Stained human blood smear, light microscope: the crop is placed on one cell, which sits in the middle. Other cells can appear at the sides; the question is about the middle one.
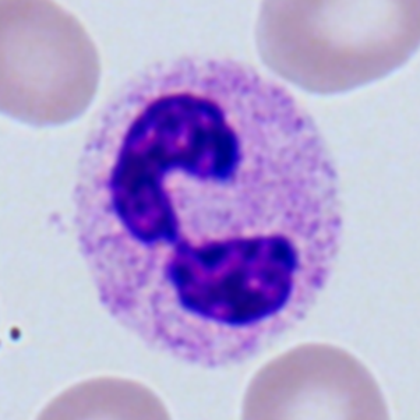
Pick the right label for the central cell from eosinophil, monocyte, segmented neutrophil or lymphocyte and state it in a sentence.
In the crop, the cell of interest at the centre is a segmented neutrophil.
